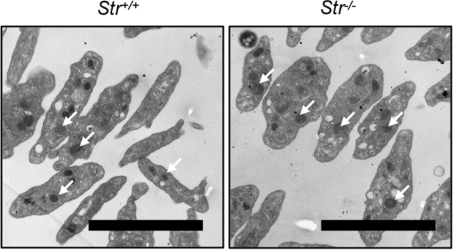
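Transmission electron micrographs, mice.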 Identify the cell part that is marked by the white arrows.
Α-granules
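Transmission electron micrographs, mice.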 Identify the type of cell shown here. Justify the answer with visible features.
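Platelets. Small elongated, discoid cell profiles a few micrometres long. No nucleus is seen in any profile. Dense granules and small vesicles lie in the cytoplasm.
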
